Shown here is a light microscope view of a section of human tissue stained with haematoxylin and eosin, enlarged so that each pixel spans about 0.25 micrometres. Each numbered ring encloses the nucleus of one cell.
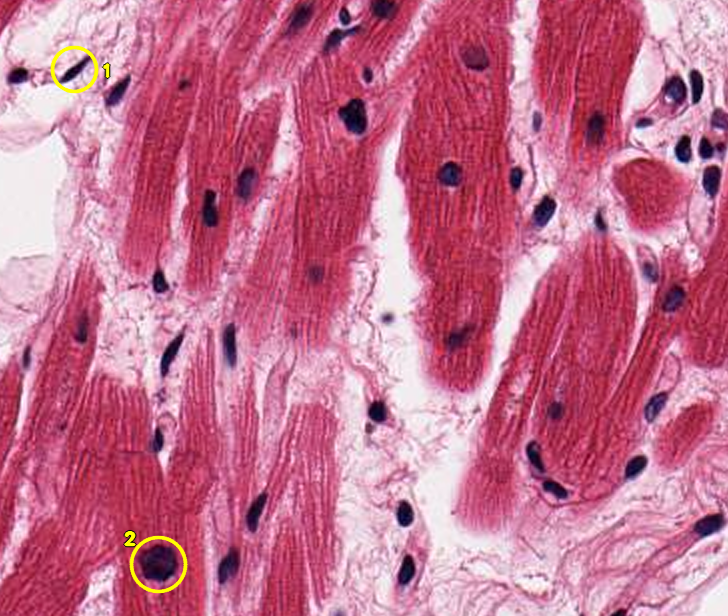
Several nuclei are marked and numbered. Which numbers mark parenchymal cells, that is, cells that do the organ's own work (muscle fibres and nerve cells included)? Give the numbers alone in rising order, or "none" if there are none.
2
